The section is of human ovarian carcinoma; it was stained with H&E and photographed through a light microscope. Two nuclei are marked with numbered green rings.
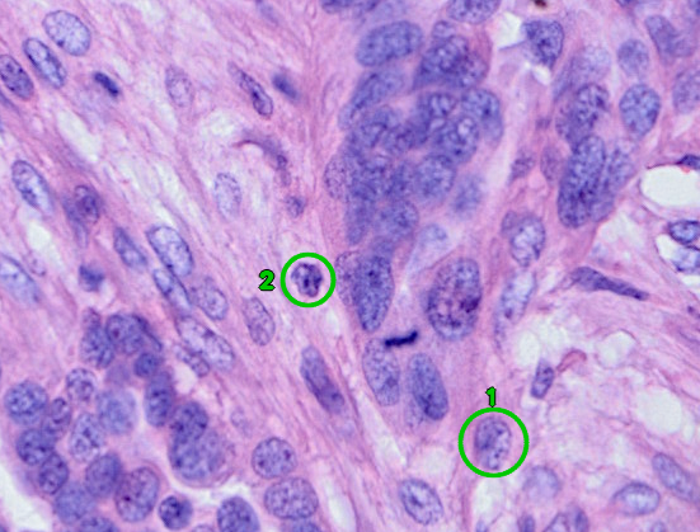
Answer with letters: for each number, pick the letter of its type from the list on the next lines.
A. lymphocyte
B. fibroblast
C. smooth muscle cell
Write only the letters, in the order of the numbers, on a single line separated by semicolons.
B; A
